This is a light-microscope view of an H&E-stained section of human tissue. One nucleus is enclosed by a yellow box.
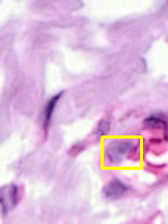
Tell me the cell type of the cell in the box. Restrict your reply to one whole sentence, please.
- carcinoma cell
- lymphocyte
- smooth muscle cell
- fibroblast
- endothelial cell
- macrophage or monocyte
Placed in its cell category, the cell in the box is an endothelial cell.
